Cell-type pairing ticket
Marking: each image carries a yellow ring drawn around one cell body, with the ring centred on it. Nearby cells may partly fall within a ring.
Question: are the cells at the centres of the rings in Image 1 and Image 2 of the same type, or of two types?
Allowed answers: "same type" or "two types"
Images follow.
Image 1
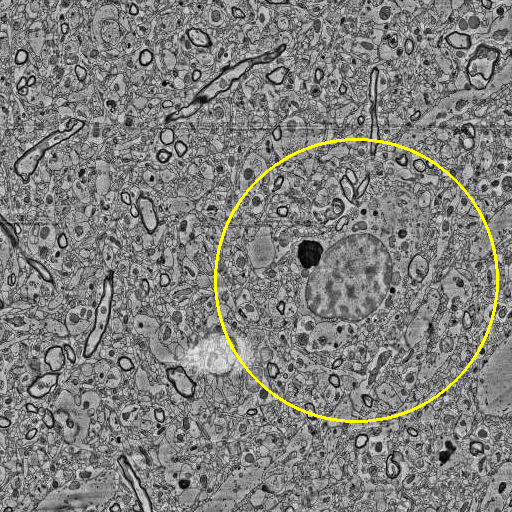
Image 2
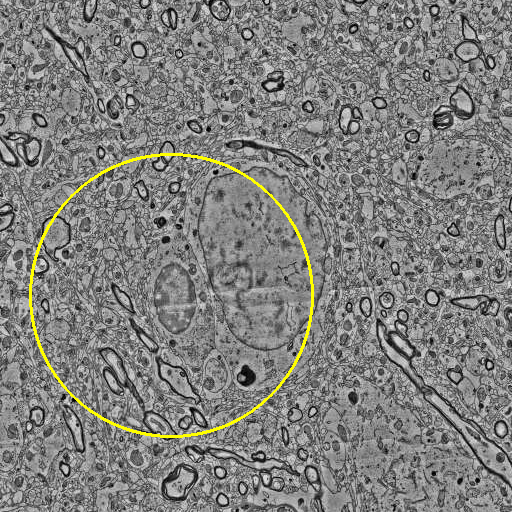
same type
